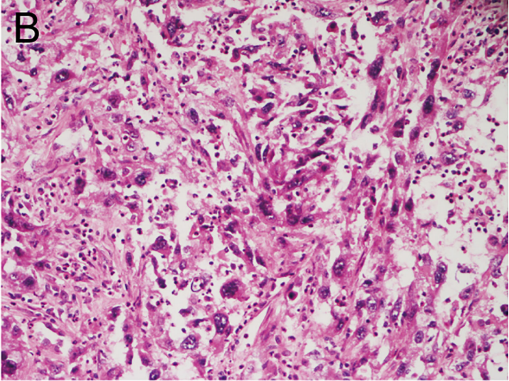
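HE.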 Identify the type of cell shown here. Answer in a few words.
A: Giant tumor cells.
